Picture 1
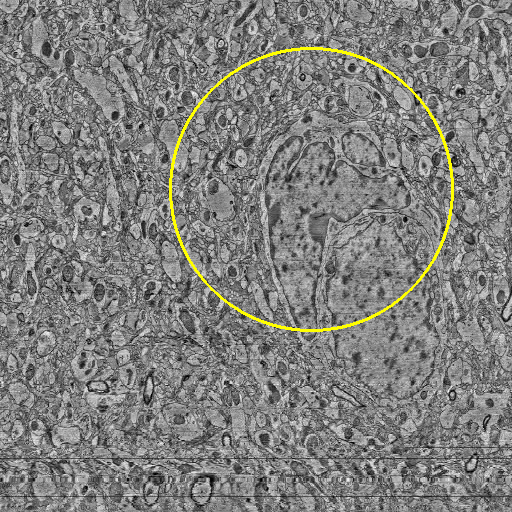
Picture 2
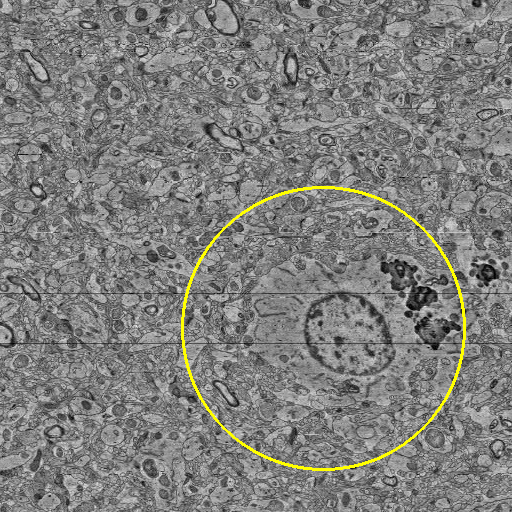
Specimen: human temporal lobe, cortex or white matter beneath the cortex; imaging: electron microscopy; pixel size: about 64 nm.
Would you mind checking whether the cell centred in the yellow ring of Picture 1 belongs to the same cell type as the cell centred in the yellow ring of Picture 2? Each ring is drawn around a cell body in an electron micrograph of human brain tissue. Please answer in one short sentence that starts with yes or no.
No, the two cells are of two types.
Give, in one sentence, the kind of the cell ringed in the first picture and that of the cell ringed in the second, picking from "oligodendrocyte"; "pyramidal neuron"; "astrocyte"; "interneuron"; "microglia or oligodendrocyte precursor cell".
For the first picture it is a microglial cell or oligodendrocyte precursor cell; for the second, an astrocyte.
